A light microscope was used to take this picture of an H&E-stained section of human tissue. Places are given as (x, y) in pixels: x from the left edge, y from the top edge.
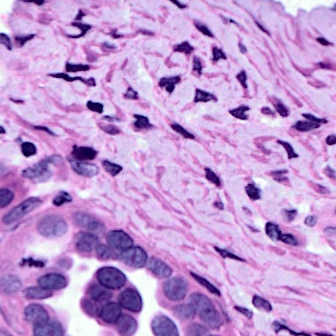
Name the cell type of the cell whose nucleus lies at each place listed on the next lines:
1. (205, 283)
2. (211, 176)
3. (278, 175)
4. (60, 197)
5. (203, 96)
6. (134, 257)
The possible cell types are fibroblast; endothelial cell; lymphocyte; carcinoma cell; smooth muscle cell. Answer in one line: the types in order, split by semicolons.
fibroblast; fibroblast; fibroblast; lymphocyte; fibroblast; carcinoma cell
